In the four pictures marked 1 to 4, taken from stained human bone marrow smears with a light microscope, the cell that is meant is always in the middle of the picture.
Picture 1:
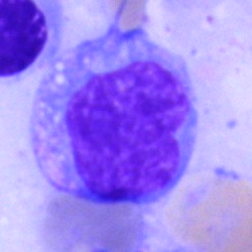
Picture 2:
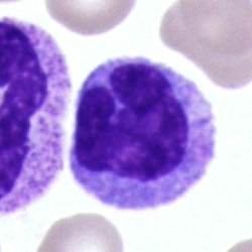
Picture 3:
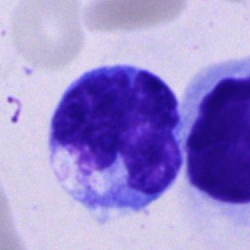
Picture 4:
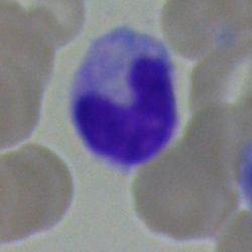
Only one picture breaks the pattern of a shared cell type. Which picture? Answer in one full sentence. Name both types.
All pictures except 4 show monocytes; picture 4 shows a band neutrophil.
